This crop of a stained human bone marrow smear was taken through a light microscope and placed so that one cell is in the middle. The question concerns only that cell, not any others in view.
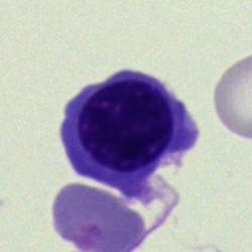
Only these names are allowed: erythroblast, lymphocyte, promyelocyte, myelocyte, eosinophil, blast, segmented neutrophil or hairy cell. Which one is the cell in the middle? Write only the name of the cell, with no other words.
erythroblast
